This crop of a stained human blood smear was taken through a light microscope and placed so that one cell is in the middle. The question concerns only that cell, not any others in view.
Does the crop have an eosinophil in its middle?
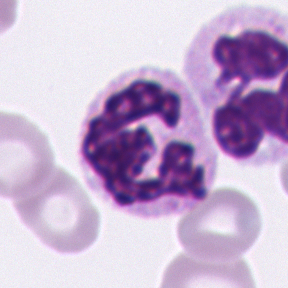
no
